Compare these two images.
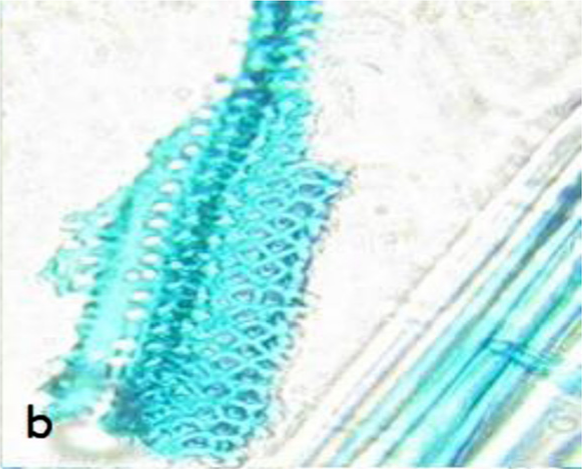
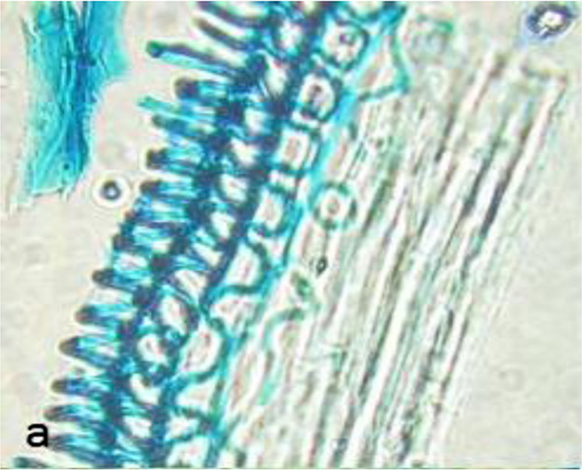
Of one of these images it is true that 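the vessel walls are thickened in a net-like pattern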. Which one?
the first image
